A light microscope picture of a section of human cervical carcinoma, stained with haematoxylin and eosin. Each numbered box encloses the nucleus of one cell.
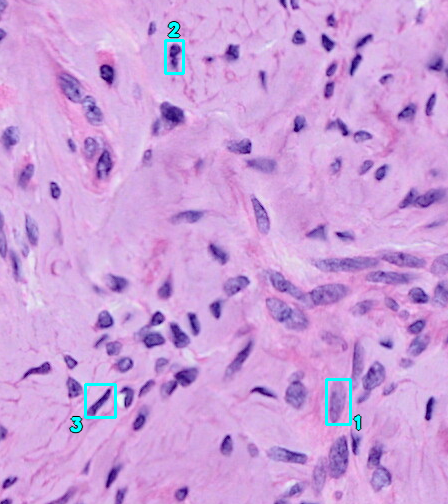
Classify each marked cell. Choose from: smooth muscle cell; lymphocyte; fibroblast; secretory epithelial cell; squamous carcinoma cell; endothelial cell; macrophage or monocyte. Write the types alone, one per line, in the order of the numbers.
smooth muscle cell
fibroblast
fibroblast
